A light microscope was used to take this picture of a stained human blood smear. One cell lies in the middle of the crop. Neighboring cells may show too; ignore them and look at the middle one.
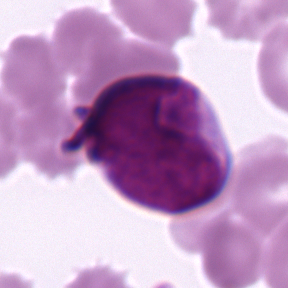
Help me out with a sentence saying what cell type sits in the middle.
The cell at the middle of the crop is recognized as a myeloblast.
